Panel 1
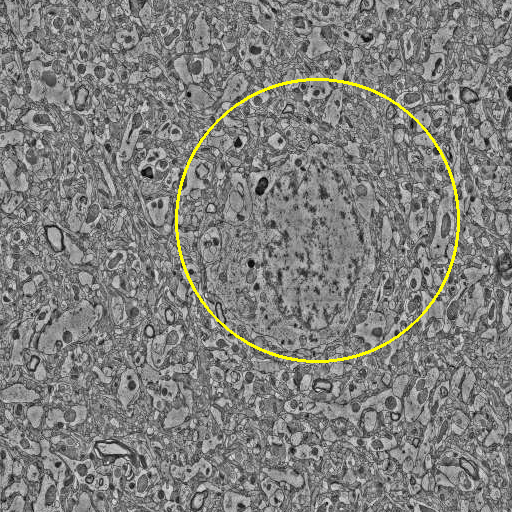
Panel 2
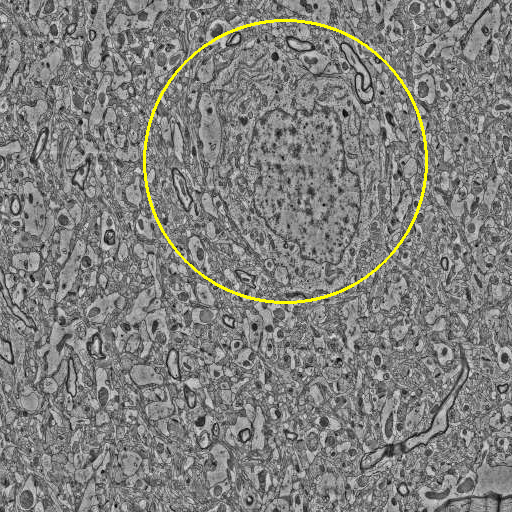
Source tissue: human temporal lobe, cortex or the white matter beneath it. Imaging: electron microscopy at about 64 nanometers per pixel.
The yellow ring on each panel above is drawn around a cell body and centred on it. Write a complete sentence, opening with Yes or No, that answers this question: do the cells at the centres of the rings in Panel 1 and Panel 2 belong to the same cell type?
Yes, both cells belong to the same cell type.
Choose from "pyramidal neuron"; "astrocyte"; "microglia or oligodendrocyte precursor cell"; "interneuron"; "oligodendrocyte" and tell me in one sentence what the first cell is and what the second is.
Both cells are the same kind, each one being an interneuron.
